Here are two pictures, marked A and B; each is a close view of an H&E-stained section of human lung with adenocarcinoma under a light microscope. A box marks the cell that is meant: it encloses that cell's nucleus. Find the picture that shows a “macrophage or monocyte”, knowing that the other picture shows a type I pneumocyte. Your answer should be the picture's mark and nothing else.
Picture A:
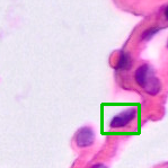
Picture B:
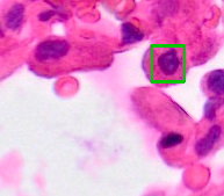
B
